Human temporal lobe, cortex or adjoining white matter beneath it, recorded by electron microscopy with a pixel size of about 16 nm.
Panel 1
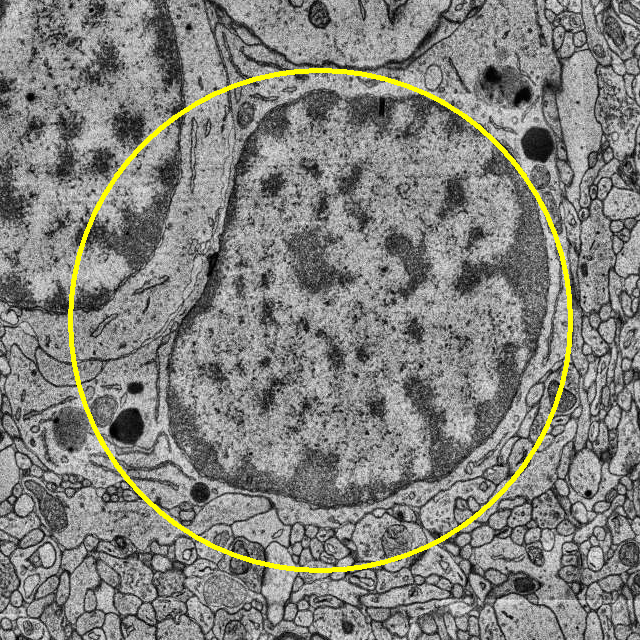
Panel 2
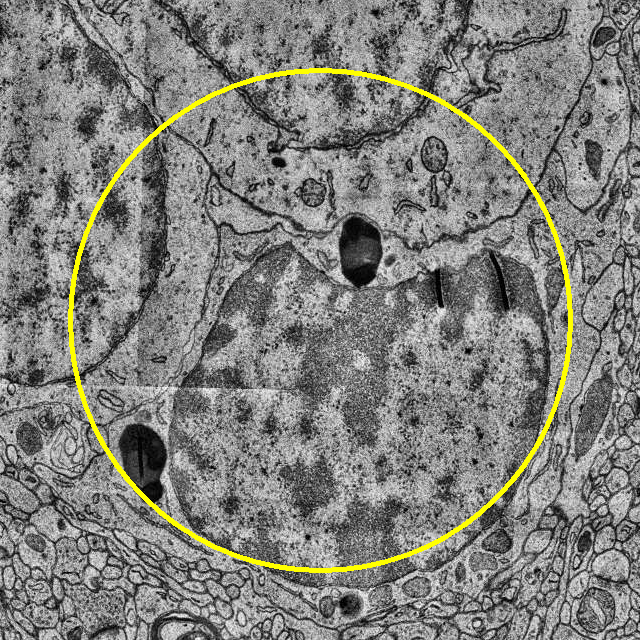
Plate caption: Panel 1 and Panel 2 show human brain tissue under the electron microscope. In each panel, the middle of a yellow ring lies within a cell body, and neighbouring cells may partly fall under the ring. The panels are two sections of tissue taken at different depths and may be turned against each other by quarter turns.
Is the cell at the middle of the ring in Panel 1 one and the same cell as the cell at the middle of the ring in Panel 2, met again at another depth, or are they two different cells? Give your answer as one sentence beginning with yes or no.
Yes, the second ring marks the same cell as the first.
